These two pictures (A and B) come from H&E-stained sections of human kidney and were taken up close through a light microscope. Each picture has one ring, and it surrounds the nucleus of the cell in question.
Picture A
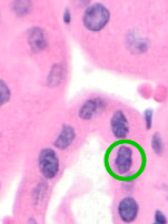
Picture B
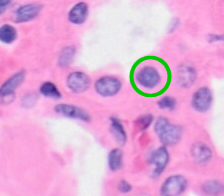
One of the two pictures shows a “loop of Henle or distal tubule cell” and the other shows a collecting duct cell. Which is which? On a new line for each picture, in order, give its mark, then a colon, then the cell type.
A: collecting duct cell
B: loop of Henle or distal tubule cell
